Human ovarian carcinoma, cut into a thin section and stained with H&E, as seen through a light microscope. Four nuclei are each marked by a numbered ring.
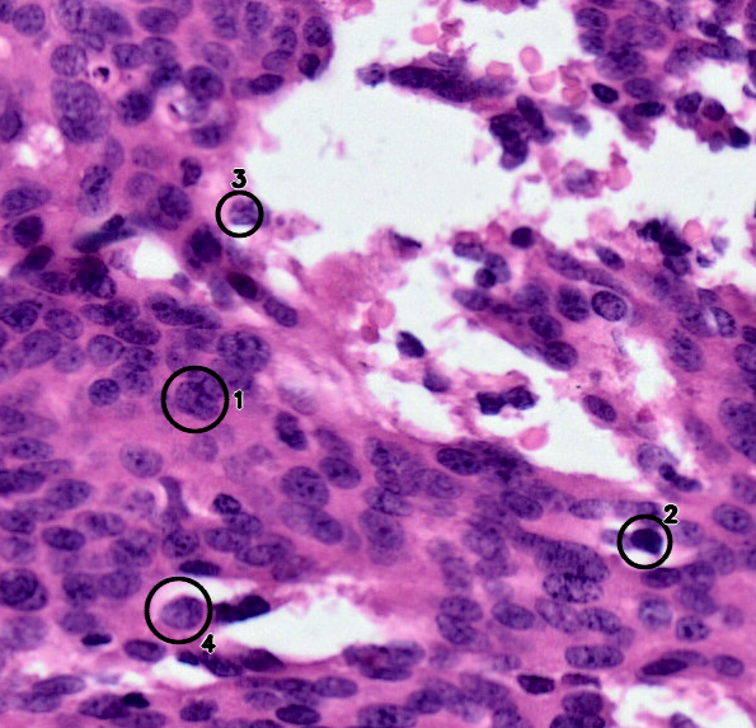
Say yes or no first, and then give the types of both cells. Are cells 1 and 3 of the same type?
No, a macrophage or monocyte is what cell 3 is, while cell 1 is a carcinoma cell.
